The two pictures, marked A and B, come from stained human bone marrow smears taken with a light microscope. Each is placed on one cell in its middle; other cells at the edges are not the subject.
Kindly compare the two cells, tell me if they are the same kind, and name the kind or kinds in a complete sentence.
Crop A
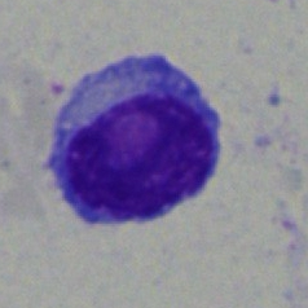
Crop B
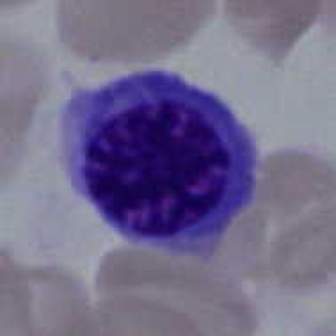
No, the middle of crop A holds a lymphocyte, and the middle of crop B holds a normoblast.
